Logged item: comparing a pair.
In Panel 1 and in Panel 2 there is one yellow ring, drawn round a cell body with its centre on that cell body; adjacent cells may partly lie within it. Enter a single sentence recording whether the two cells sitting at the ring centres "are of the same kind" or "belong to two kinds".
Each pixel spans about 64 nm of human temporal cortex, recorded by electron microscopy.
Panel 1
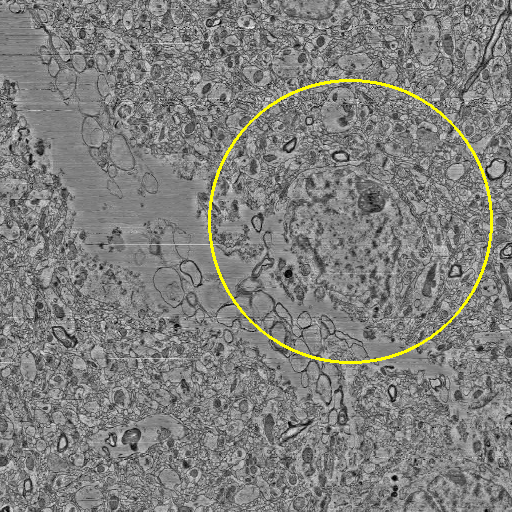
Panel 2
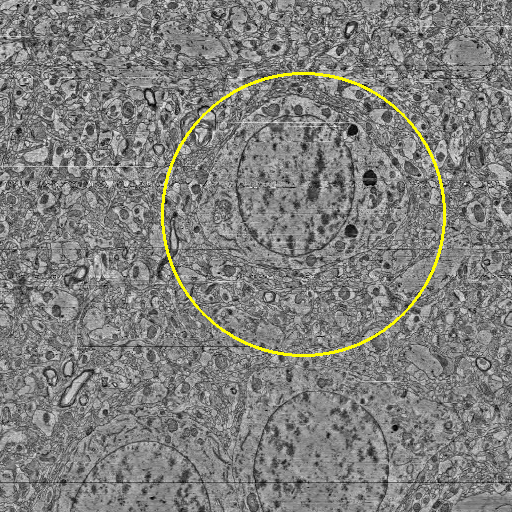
Logged: the cells centred in the rings of Panel 1 and Panel 2 belong to two kinds.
